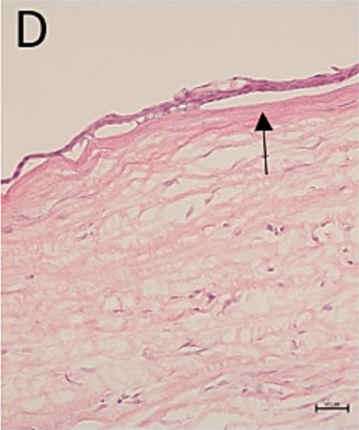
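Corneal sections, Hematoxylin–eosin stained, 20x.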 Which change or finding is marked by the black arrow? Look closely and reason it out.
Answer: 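A clear gap runs between the thin surface epithelium and the pink stroma beneath. The epithelial strip lies detached above the stromal surface. On this evidence: complete separation of the epithelial layer.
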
